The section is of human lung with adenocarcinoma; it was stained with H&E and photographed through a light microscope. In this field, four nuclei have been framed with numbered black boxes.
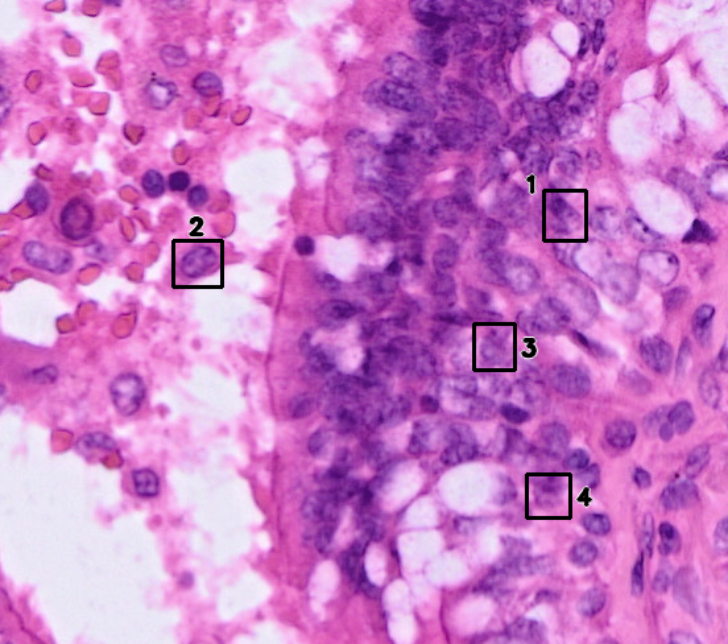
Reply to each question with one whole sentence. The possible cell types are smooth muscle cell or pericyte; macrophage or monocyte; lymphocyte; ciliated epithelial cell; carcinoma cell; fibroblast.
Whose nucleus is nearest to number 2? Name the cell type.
The nucleus nearest to number 2 is that of a lymphocyte.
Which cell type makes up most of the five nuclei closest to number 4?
Ciliated epithelial cells account for more than half of the five nuclei nearest to number 4.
